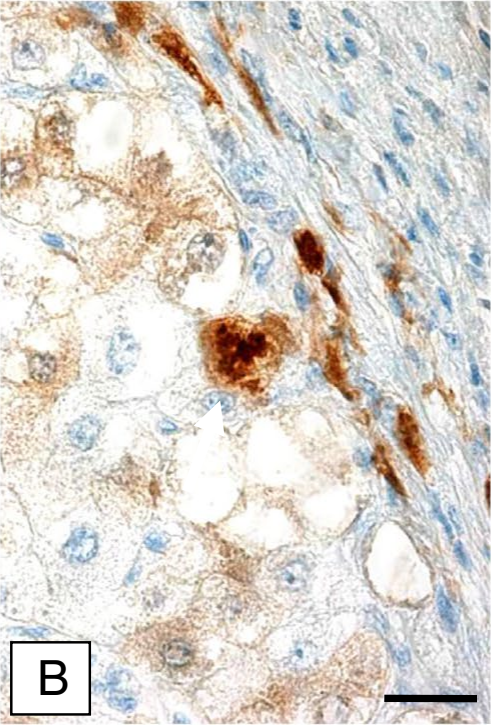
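Liver parenchyma of large polygonal hepatocytes meets a band of connective tissue with slender spindle-shaped blue nuclei. Many hepatocytes have pale, vacuolated or finely granular light-brown cytoplasm and round central nuclei, while one hepatocyte holds a dense dark brown cytoplasmic clump. Along the connective tissue, narrow elongated cells are stained deep brown.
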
